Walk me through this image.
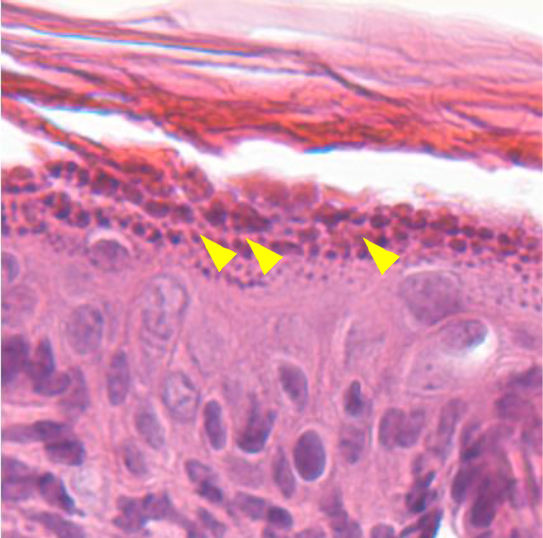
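This is the epidermis of skin, with pink-red, wavy, layered sheets of cornified material at the top. Beneath them lies a band of flattened cells filled with coarse, dark purple granules, and below that are layers of nucleated cells with round to oval purple nuclei and pink cytoplasm.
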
